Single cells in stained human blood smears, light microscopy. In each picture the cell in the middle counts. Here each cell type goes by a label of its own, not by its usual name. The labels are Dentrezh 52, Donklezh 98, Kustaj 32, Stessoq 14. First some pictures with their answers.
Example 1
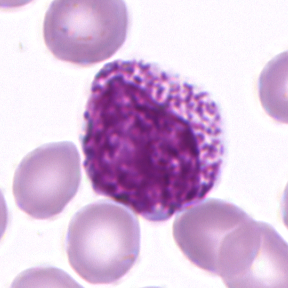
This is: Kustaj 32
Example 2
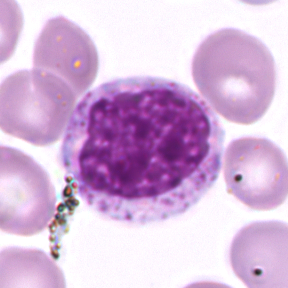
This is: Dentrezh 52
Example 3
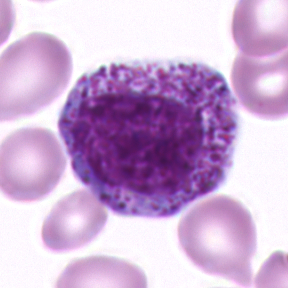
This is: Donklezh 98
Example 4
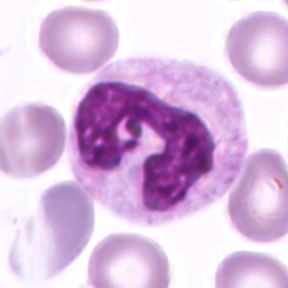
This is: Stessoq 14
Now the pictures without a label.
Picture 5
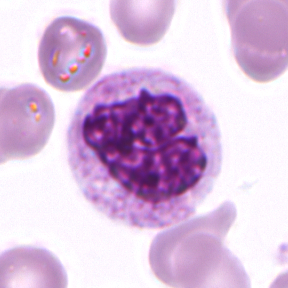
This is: Stessoq 14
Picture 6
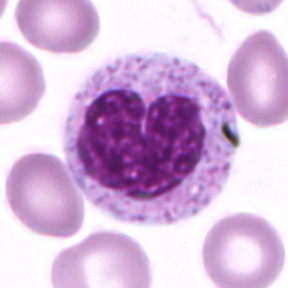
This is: Stessoq 14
